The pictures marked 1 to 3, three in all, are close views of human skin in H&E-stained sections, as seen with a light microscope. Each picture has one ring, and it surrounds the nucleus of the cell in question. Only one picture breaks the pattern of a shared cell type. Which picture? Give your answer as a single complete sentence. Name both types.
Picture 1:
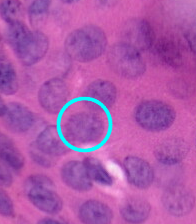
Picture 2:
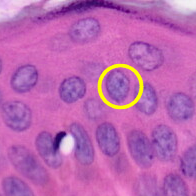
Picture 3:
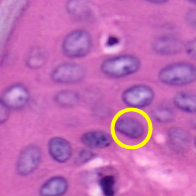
Unlike the rest, which show suprabasal keratinocytes, picture 3 shows a basal keratinocyte.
